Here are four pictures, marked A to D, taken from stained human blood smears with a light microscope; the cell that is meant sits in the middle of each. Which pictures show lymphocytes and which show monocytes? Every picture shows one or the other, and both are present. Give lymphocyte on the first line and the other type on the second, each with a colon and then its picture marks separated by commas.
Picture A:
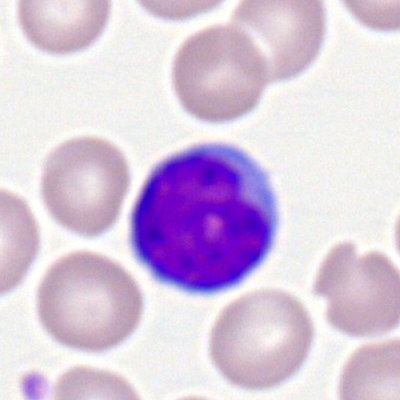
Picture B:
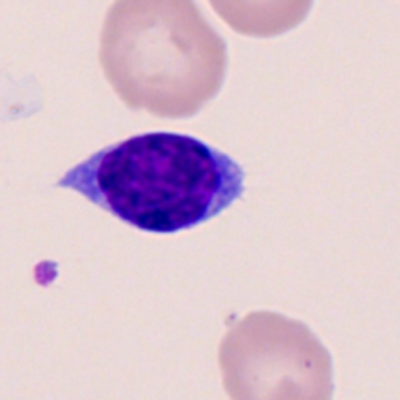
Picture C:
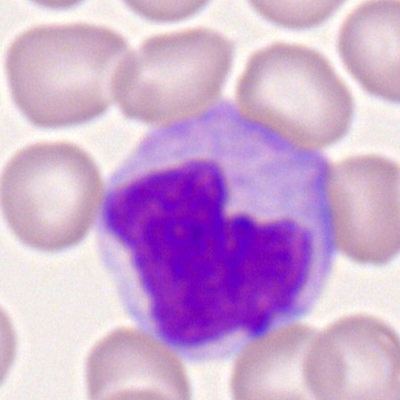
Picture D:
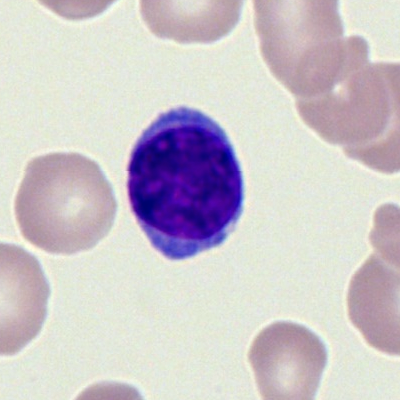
lymphocyte: A, B, D
monocyte: C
